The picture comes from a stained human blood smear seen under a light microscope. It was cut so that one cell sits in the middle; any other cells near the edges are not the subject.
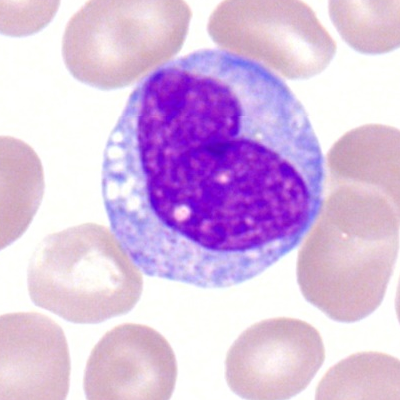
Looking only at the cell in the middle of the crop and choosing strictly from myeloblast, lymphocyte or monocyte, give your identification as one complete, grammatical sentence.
Framed in the middle of the crop is a monocyte.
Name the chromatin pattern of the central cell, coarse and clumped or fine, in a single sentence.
Its chromatin is finely dispersed rather than coarsely clumped.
